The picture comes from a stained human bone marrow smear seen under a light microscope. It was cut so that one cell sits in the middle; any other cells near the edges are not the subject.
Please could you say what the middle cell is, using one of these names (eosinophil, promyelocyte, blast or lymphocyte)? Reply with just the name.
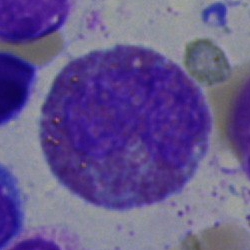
eosinophil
